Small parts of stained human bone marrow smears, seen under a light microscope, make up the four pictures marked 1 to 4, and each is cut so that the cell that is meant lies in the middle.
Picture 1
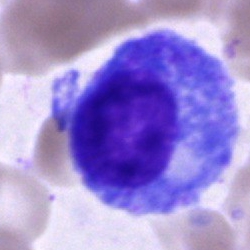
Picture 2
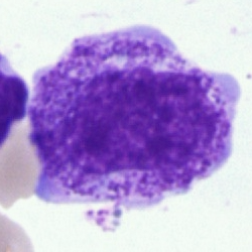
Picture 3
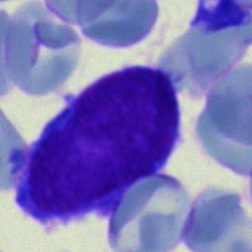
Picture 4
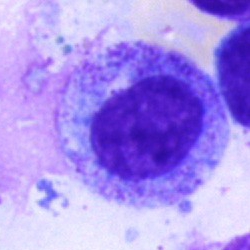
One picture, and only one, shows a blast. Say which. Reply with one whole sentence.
The blast is the one in picture 3.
